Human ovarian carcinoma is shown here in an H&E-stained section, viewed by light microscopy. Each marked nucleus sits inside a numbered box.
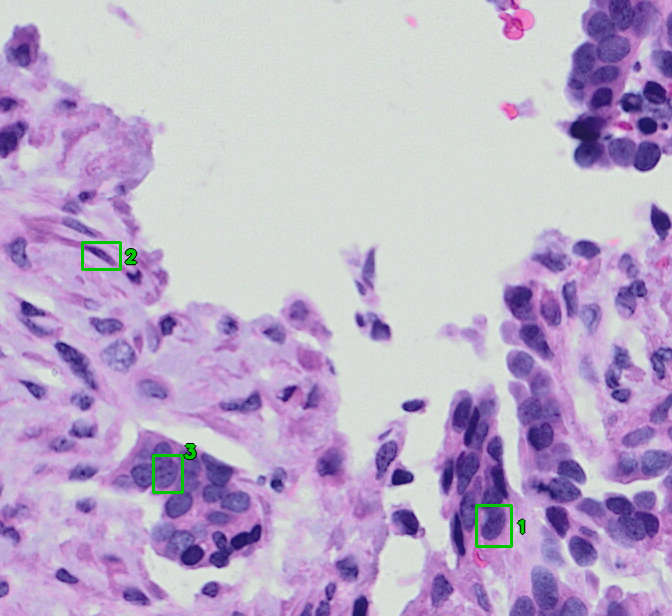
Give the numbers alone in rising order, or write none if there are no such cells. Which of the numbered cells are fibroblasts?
2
